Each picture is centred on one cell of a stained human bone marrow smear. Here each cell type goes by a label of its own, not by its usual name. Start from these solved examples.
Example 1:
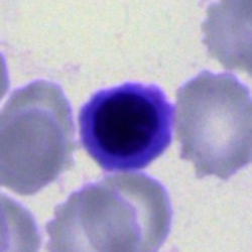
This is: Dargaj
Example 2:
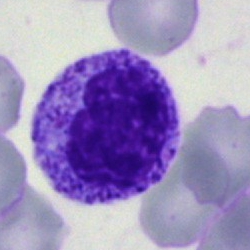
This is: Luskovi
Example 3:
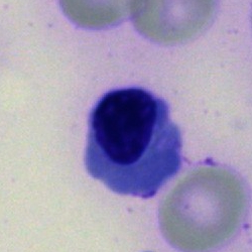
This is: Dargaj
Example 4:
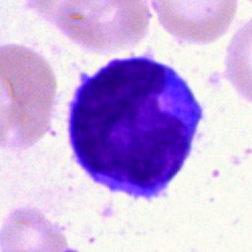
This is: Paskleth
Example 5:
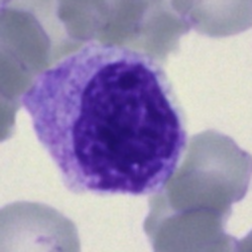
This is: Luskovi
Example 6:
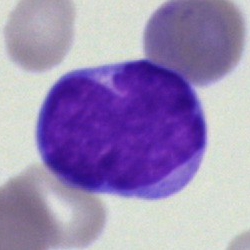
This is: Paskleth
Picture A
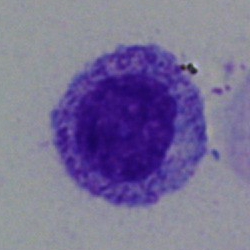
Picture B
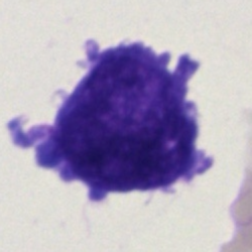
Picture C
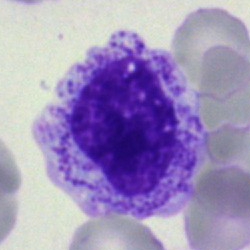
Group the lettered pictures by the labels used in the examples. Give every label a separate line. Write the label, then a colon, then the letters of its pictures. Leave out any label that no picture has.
Luskovi: A, C
Paskleth: B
